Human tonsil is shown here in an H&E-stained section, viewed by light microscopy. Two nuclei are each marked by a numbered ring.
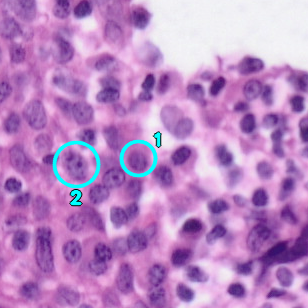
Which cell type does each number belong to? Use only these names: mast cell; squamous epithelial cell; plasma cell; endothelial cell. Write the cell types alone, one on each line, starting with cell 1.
plasma cell
squamous epithelial cell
